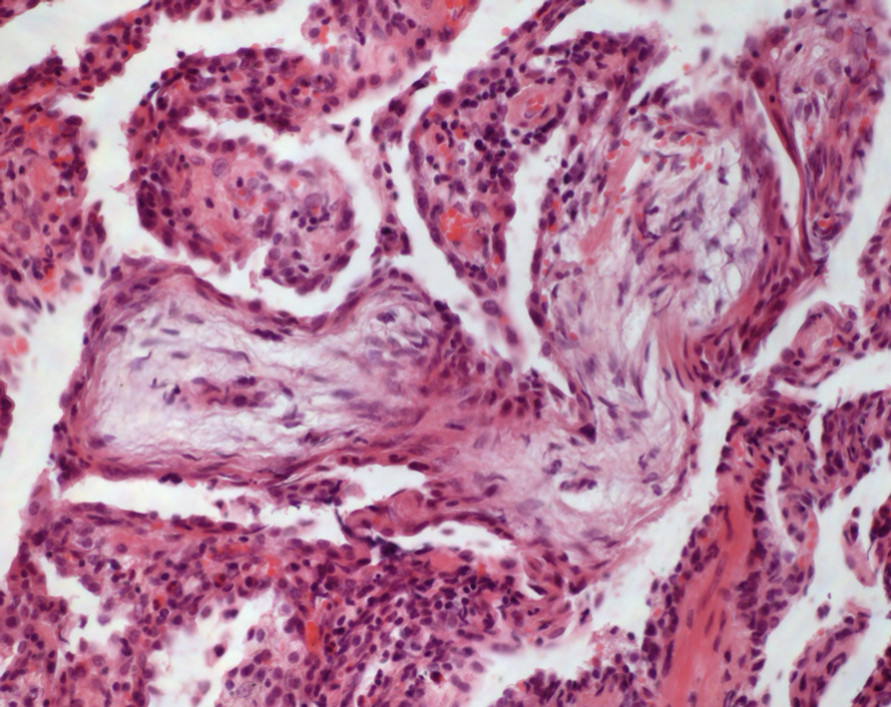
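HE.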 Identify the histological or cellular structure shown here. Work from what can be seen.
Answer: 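Buds of granulation tissue. Pale, loose, faintly bluish plugs of tissue with scattered spindle-shaped cells sit inside airspaces. The plugs are rimmed by a layer of darker cells and separated from surrounding tissue by clear spaces.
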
